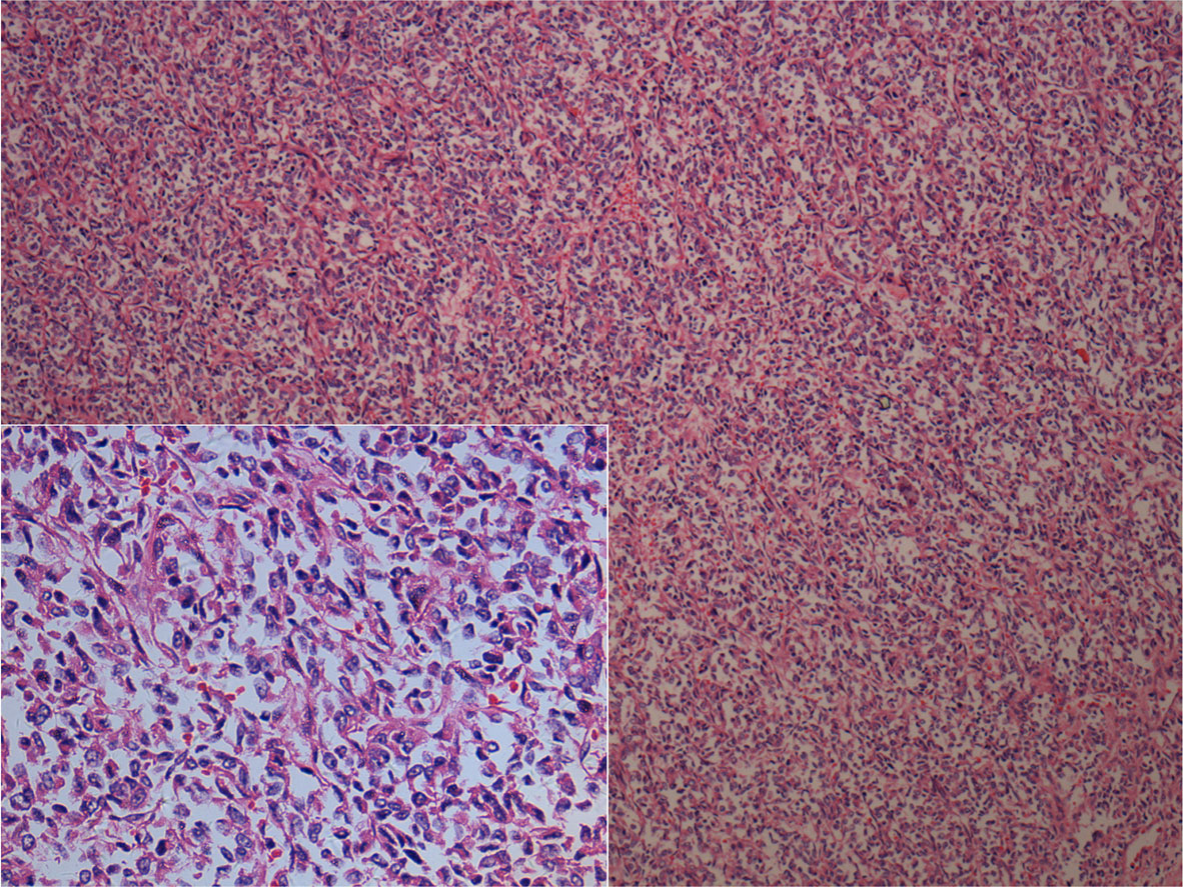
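This is a densely cellular tumour whose cells lie in nests and cords, separated by fine, branching pink fibrovascular septa that form a delicate network across the whole field. At low power the cell groups look uniform, with purple nuclei set in pale spaces between the thin septa. In the enlarged inset the nuclei are round, oval or somewhat elongated and stained purple.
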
